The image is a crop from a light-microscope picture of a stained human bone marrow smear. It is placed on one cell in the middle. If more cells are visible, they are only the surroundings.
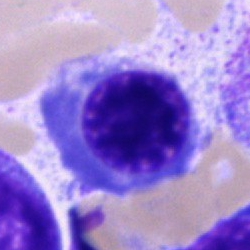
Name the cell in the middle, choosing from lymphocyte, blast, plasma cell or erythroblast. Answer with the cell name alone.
erythroblast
